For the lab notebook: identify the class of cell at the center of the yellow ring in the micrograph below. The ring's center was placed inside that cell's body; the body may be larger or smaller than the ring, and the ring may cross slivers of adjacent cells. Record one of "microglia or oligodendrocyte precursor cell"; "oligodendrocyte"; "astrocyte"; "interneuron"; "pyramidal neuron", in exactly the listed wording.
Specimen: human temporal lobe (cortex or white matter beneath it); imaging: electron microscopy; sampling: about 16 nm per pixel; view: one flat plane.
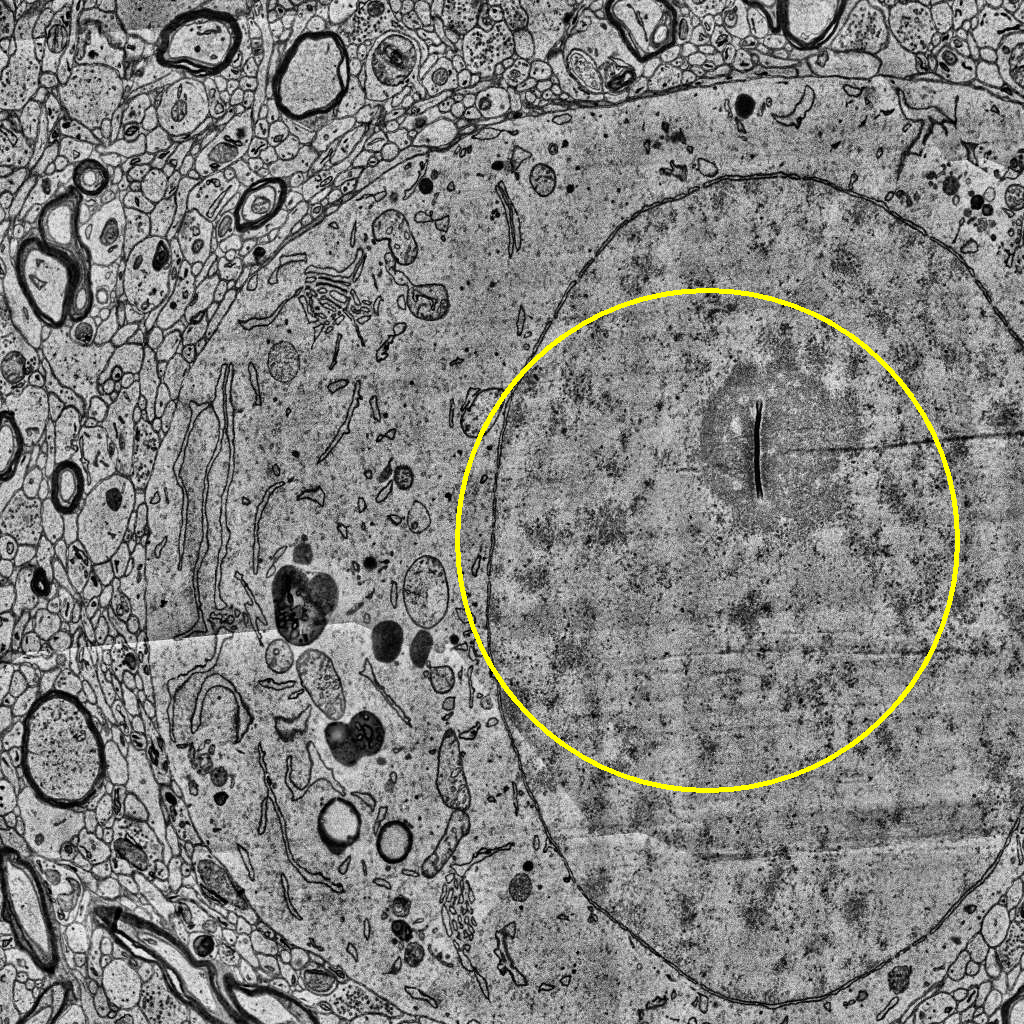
pyramidal neuron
